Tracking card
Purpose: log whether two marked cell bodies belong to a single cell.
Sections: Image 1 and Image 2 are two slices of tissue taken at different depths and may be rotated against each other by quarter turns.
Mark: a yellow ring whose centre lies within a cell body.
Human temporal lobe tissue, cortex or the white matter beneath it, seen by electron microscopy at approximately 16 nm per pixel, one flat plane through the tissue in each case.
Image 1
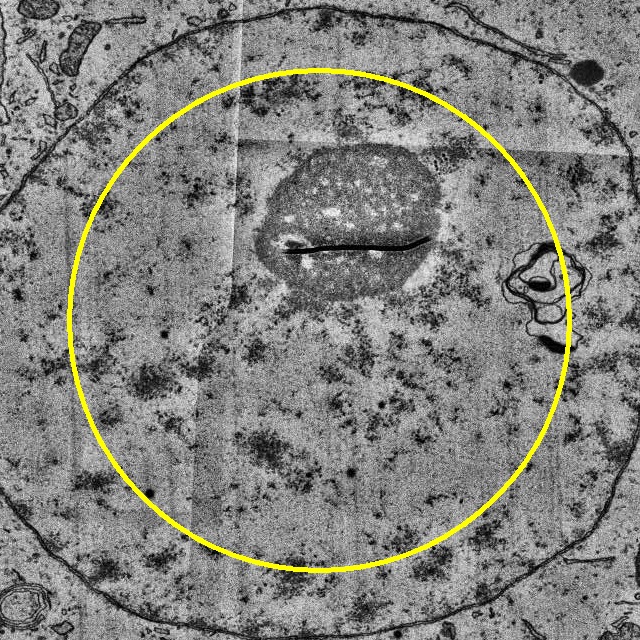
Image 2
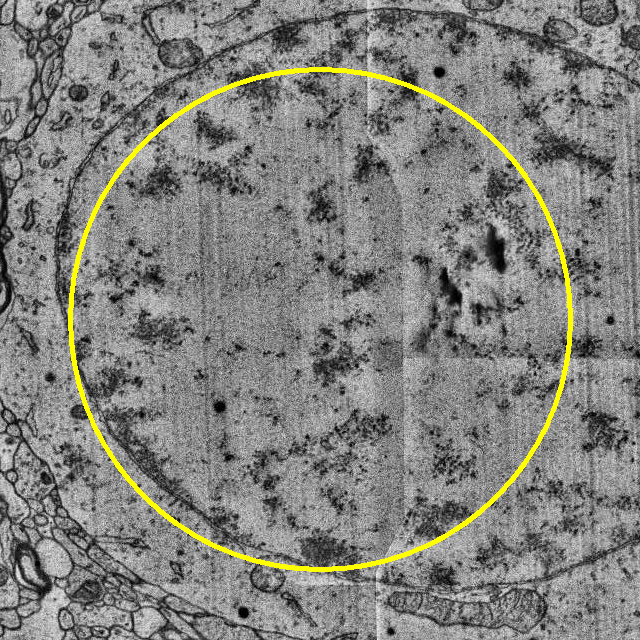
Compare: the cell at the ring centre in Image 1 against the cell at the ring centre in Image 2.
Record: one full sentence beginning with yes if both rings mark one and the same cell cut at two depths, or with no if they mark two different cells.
No, the two yellow rings surround two different cells.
